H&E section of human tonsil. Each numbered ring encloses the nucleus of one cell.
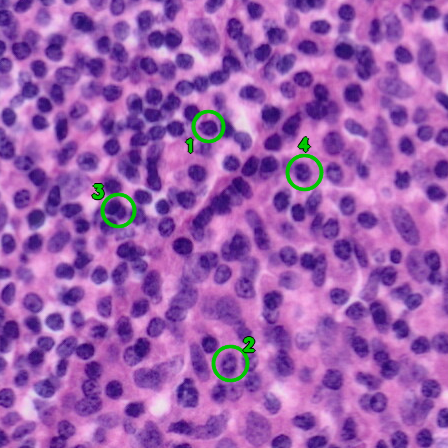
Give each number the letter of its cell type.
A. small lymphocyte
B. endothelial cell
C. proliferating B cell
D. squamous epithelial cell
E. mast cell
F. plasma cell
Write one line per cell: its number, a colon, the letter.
1: A
2: F
3: A
4: F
